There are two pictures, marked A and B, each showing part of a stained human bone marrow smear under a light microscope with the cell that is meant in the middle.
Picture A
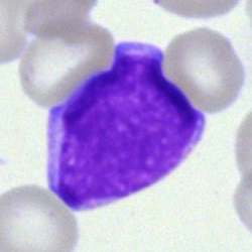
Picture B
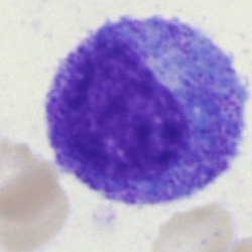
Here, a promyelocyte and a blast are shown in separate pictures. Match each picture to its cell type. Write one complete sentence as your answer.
Picture A is of a blast, and picture B is of a promyelocyte.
